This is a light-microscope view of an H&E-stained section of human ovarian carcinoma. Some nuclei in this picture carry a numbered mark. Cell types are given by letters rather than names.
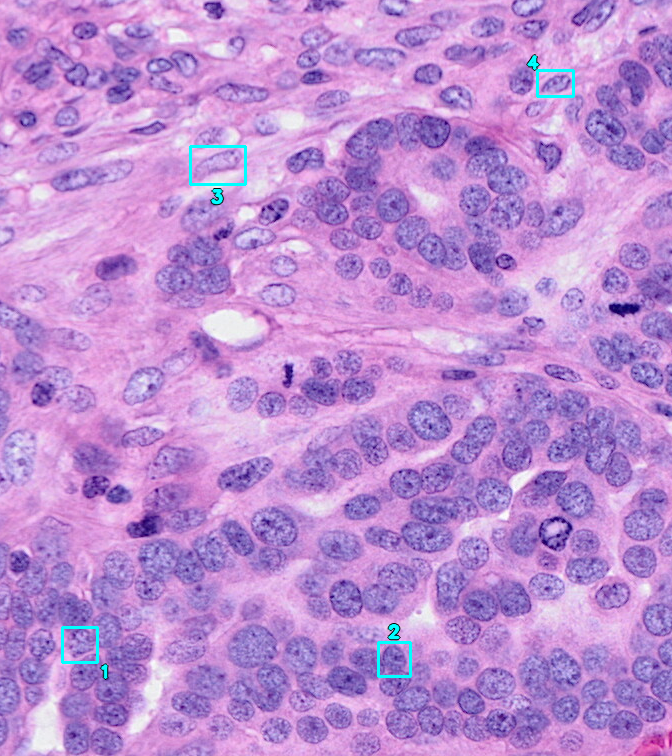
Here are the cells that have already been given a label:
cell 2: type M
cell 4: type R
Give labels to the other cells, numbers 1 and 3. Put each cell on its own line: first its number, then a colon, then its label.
1: type M
3: type R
